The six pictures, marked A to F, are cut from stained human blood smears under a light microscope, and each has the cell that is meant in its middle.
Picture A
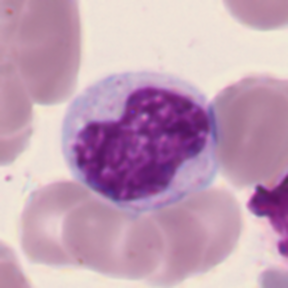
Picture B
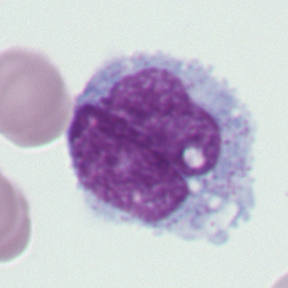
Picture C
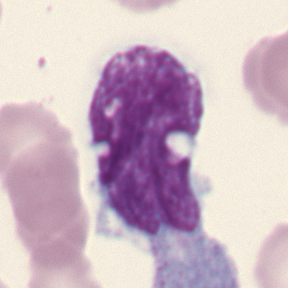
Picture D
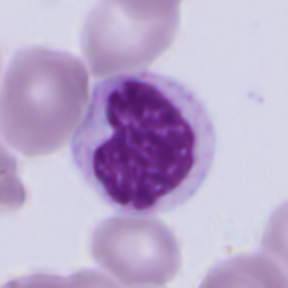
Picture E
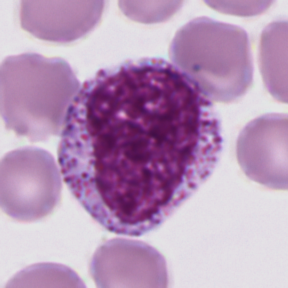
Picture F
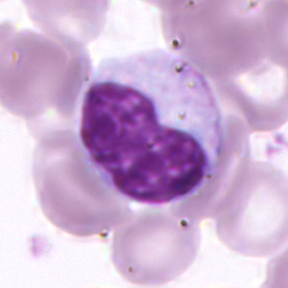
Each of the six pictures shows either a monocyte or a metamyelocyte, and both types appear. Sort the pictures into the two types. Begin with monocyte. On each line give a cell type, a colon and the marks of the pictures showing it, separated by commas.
monocyte: B, C
metamyelocyte: A, D, E, F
